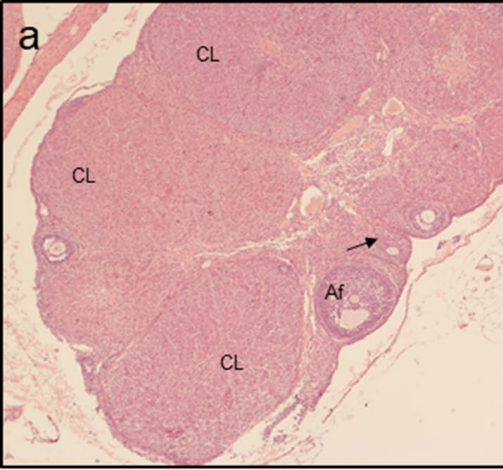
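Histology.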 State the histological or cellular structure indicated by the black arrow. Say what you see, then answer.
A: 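Preantral follicle. Small round follicle with a central oocyte.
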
